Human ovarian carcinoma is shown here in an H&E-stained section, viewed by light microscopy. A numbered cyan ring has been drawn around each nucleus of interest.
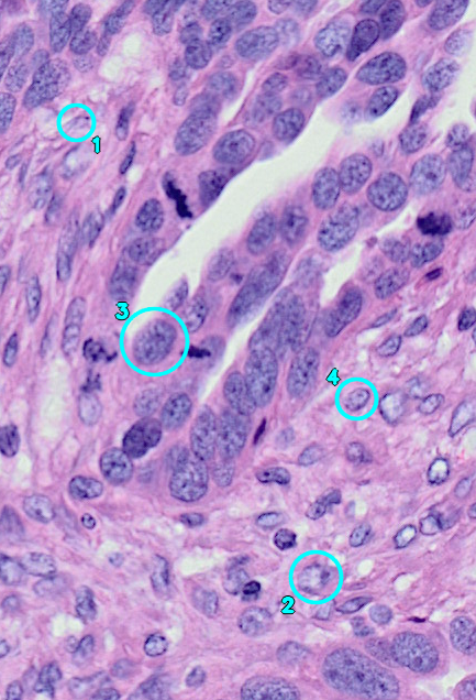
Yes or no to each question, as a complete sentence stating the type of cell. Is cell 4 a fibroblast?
Yes, the numbered nucleus 4 is that of a fibroblast.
